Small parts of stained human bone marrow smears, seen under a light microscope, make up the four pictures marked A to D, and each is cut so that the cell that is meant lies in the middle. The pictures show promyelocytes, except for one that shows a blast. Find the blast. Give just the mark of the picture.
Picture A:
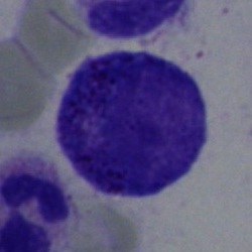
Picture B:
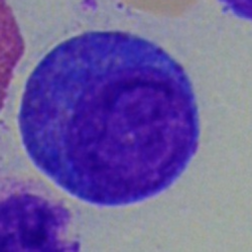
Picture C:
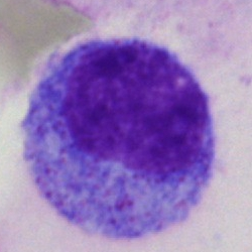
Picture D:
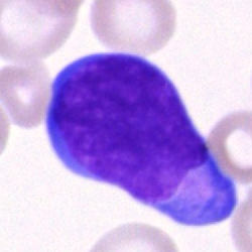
D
